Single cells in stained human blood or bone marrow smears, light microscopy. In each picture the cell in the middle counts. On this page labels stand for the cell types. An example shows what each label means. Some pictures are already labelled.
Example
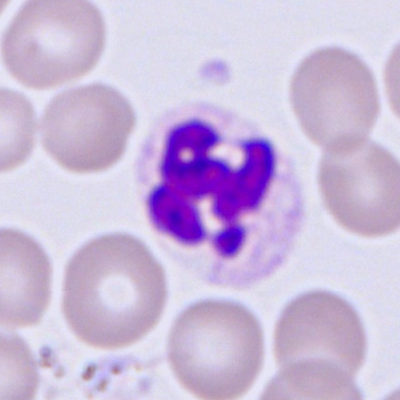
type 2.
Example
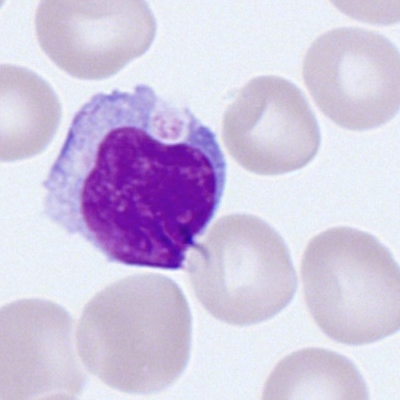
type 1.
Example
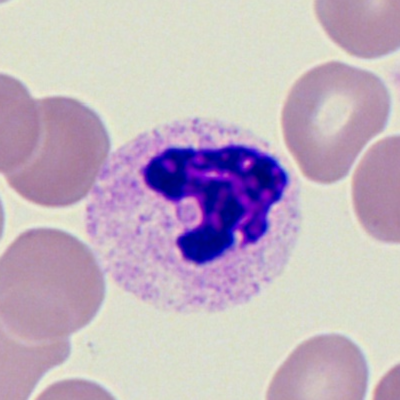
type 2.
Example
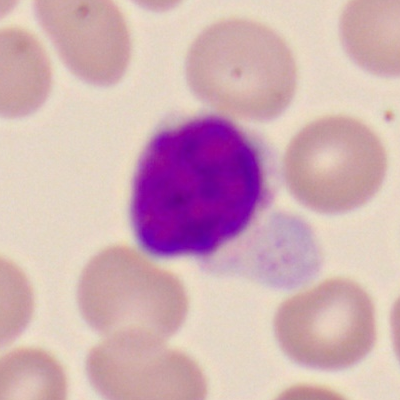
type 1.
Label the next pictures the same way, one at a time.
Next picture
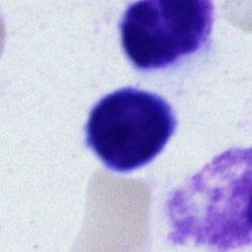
type 1.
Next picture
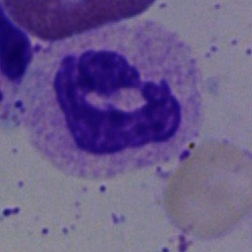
type 2.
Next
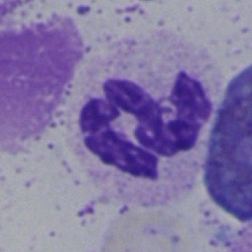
type 2.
